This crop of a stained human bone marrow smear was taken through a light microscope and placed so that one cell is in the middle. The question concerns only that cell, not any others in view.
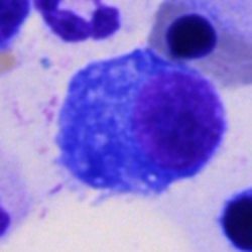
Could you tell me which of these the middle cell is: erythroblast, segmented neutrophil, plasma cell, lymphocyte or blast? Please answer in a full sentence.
The identification for the central cell is a plasma cell.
